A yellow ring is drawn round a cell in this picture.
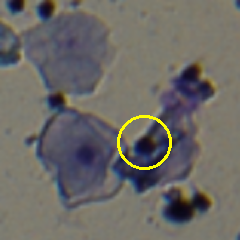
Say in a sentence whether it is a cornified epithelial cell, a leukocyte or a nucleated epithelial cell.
The cell in the ring is a leukocyte.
